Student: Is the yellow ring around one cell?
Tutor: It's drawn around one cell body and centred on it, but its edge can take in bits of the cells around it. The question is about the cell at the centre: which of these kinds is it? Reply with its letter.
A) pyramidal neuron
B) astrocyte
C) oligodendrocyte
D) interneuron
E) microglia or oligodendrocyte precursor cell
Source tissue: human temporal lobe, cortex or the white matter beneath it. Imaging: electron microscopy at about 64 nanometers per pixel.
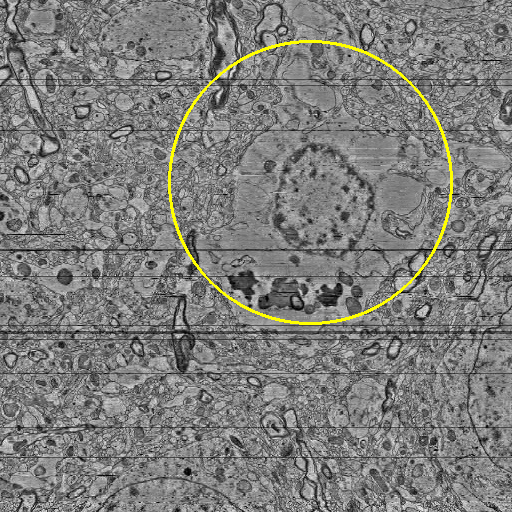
B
